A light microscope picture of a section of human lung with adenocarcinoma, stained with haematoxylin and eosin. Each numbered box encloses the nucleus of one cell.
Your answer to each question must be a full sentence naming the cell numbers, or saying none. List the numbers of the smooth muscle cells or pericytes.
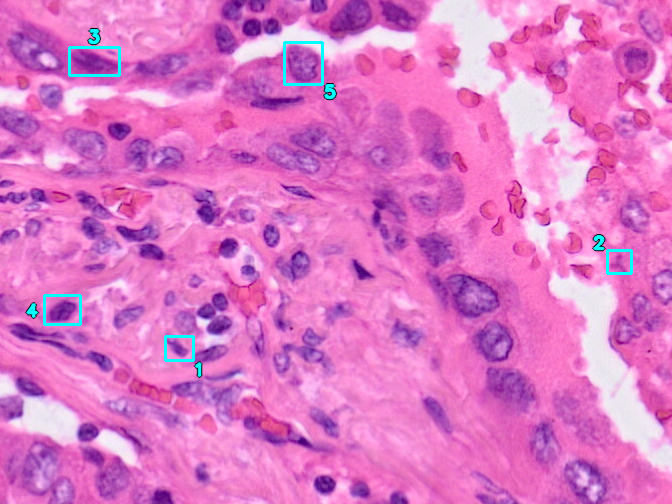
Answering directly: no smooth muscle cells or pericytes are among the numbered cells.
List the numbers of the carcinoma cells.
The cells marked by the numbers 3 and 5 are carcinoma cells.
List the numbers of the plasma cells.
Cell 4 is a plasma cell, while every other numbered cell is not.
